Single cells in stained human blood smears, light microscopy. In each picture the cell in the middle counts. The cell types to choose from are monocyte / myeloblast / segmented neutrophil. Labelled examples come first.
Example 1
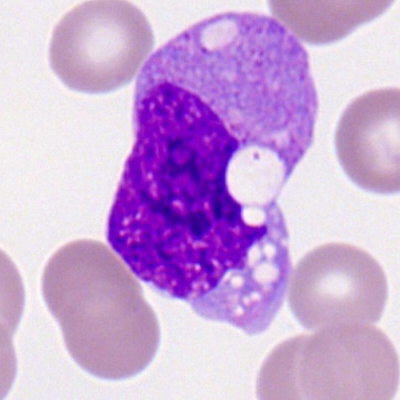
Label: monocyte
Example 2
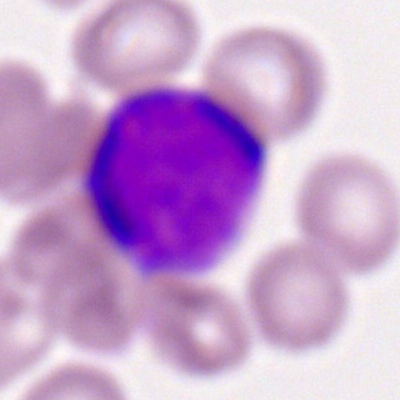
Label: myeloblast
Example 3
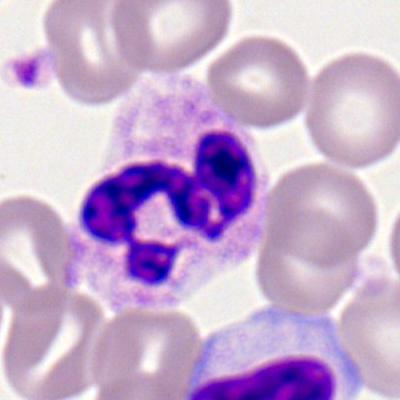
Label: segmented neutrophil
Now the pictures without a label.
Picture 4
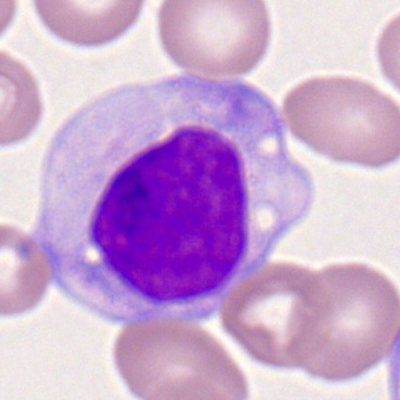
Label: monocyte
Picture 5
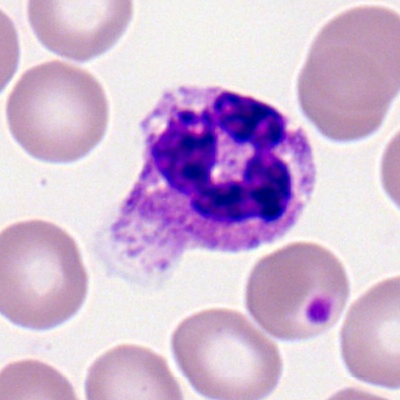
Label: segmented neutrophil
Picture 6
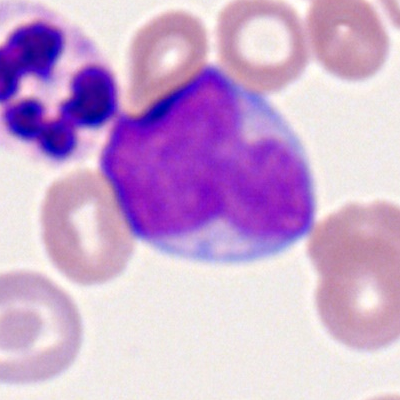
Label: myeloblast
